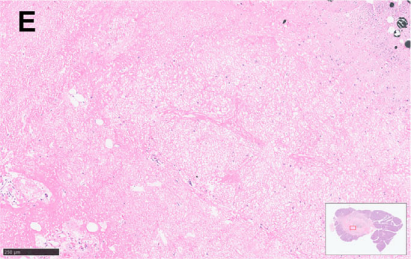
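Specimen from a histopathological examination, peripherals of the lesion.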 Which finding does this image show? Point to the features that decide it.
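The field is filled with pale pink tissue lacking clear nuclei. Faint ghost outlines of tissue remain without intact cells.
Coagulation necrosis.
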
